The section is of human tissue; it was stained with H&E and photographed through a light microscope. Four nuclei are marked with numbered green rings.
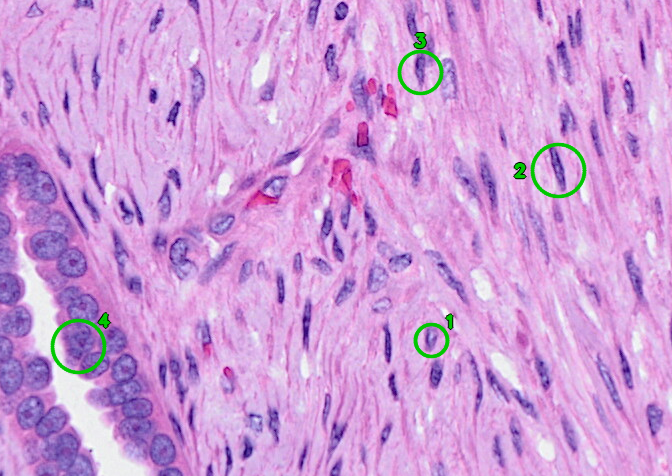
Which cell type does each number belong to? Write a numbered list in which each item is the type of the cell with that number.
1. fibroblast
2. fibroblast
3. fibroblast
4. carcinoma cell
